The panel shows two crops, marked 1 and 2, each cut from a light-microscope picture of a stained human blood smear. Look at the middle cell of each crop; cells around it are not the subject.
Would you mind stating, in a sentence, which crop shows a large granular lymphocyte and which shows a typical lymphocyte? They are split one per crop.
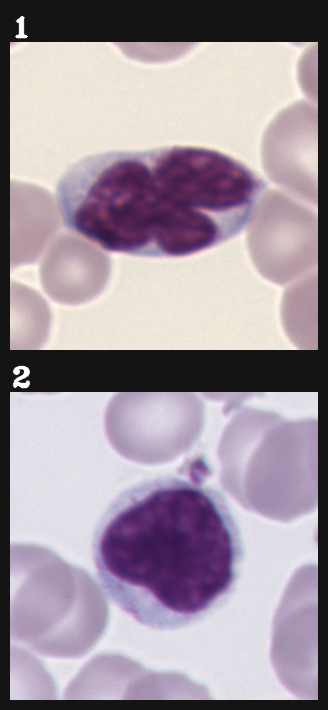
Crop 1 holds a large granular lymphocyte; a typical lymphocyte occupies crop 2.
